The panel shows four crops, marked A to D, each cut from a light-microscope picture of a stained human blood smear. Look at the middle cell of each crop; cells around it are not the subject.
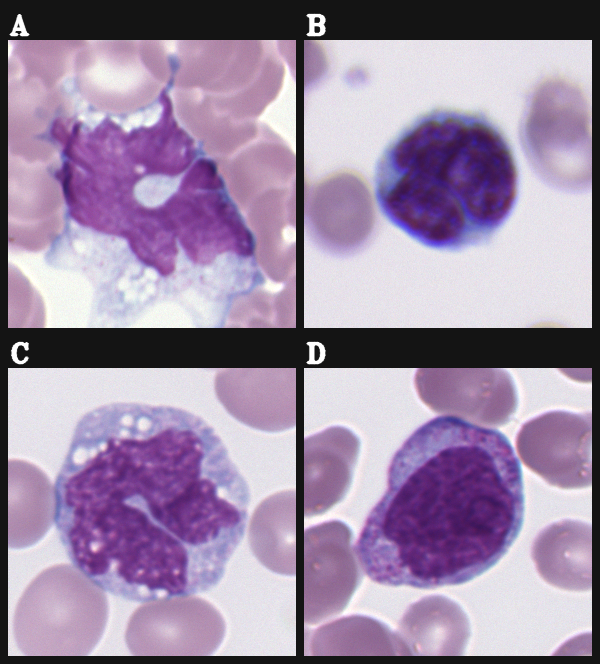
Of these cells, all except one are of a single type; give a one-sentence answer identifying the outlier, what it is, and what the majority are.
Crop D is an atypical promyelocyte, the one exception to the monocytes of the other crops.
